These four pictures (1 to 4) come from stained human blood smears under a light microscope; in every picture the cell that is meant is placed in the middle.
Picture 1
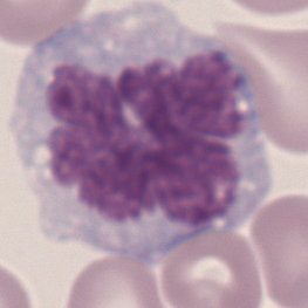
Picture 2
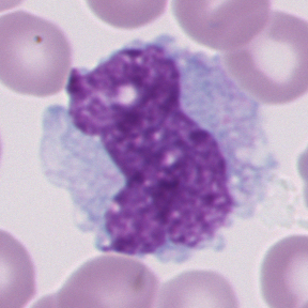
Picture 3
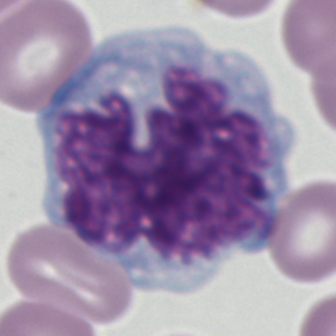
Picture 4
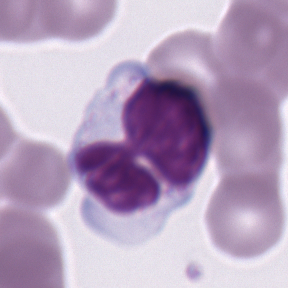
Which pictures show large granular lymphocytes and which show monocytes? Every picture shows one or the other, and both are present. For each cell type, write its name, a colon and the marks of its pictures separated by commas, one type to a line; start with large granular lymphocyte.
large granular lymphocyte: 4
monocyte: 1, 2, 3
